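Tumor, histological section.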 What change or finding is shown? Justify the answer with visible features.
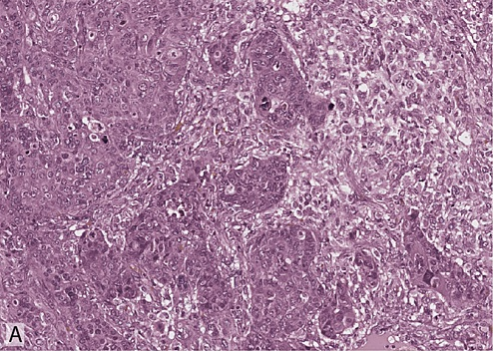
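Two intermixed components. Darker cohesive nests of cells sit on the left. Looser, paler, discohesive pleomorphic cells fill the right and lie between the nests.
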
